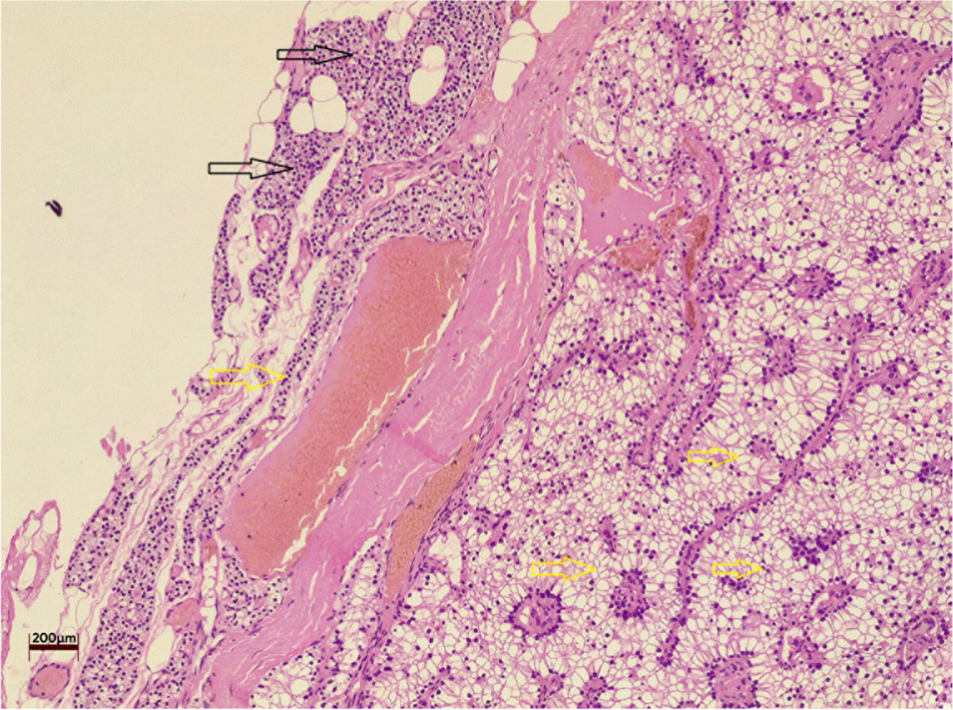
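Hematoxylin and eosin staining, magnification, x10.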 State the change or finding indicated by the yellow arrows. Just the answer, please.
cells with uniform nuclei and clear cytoplasm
